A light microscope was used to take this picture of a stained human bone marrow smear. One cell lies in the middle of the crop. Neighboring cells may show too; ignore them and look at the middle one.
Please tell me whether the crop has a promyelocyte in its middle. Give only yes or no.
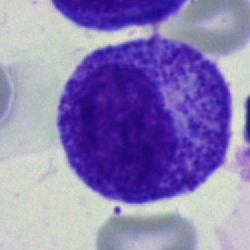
yes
